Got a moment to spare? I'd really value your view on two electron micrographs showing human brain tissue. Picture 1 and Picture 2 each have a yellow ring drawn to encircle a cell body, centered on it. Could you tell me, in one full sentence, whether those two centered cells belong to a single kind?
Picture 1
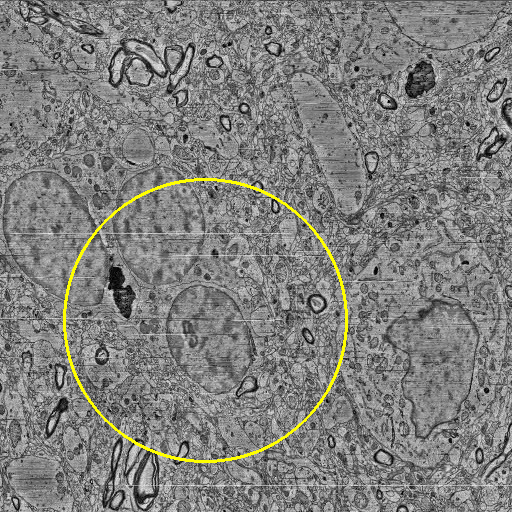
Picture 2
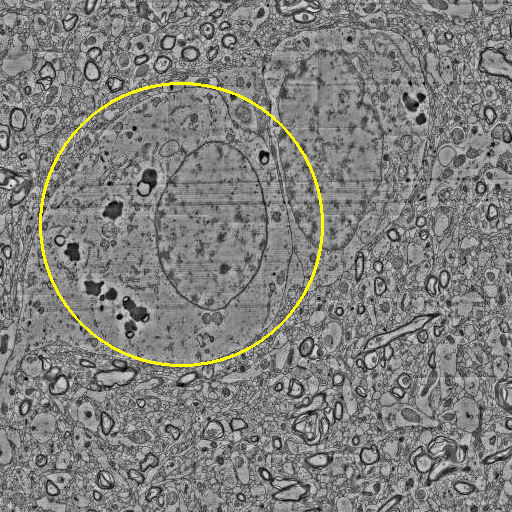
No, the two centered cells in Picture 1 and Picture 2 are of two kinds.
